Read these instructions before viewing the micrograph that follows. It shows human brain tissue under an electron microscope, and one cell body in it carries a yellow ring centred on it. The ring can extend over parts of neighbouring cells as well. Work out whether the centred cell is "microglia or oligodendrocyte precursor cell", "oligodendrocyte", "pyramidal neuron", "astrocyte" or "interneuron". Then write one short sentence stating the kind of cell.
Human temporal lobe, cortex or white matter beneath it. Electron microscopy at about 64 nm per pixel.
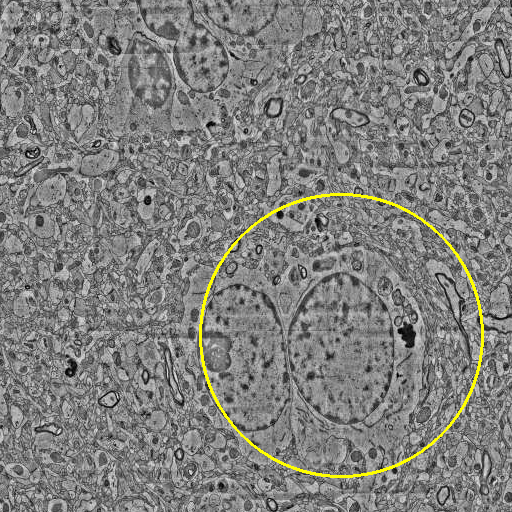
The ringed cell is an astrocyte.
